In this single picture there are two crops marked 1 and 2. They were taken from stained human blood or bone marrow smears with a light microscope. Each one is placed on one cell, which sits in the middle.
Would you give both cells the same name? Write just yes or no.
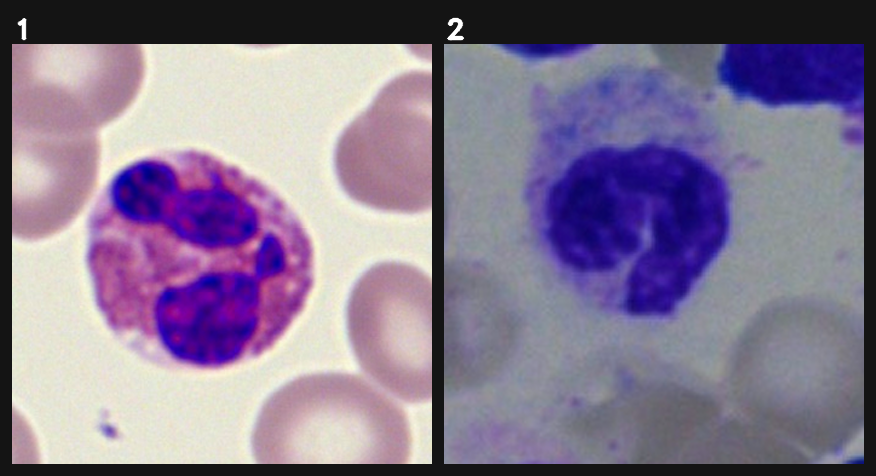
no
